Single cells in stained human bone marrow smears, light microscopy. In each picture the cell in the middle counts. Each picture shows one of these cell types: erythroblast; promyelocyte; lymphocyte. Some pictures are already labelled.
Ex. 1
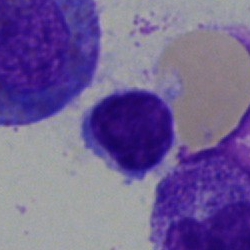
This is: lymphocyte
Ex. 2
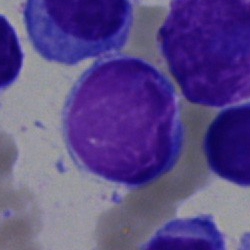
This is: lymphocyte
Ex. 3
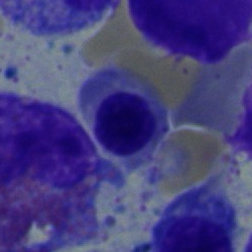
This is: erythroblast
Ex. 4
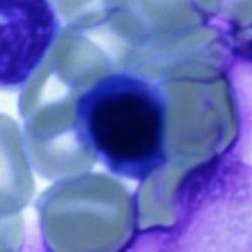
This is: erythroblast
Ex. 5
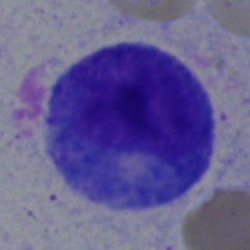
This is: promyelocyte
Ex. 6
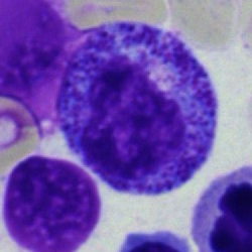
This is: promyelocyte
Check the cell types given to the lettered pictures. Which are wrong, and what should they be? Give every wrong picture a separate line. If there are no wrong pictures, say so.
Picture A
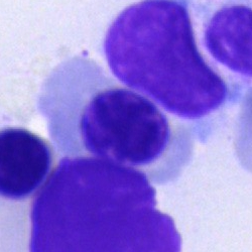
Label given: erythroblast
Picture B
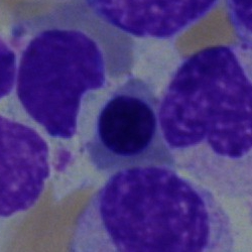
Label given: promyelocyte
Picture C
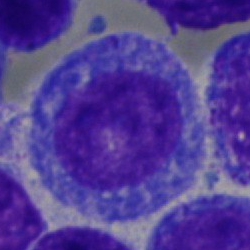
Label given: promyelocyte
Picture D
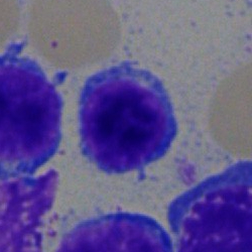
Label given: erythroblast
B is labelled promyelocyte; correct label: erythroblast
D is labelled erythroblast; correct label: lymphocyte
